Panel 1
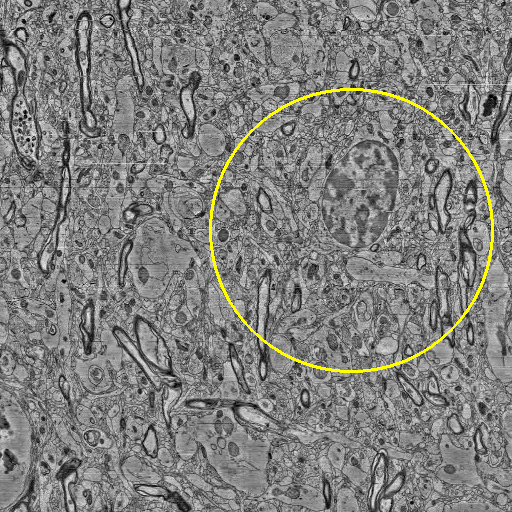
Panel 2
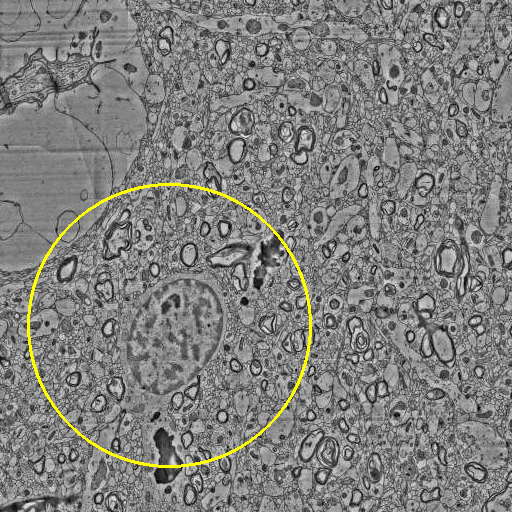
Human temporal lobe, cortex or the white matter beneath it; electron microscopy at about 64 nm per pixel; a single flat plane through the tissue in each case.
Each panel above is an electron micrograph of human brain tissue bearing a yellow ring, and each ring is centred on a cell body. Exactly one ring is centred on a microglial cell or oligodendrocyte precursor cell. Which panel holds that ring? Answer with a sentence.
That ring is in Panel 1.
